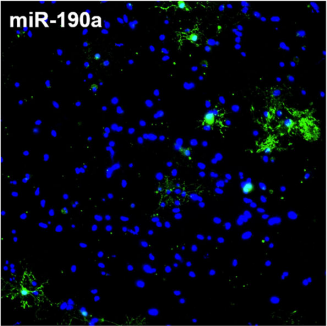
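Dissociated culture of differentiating oligodendrocyte lineage cells with numerous scattered round blue nuclei. A minority of cells are green; some carry a bright cell body with fine branching processes, while one at the right spreads a dense, flat green membrane-like sheet.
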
